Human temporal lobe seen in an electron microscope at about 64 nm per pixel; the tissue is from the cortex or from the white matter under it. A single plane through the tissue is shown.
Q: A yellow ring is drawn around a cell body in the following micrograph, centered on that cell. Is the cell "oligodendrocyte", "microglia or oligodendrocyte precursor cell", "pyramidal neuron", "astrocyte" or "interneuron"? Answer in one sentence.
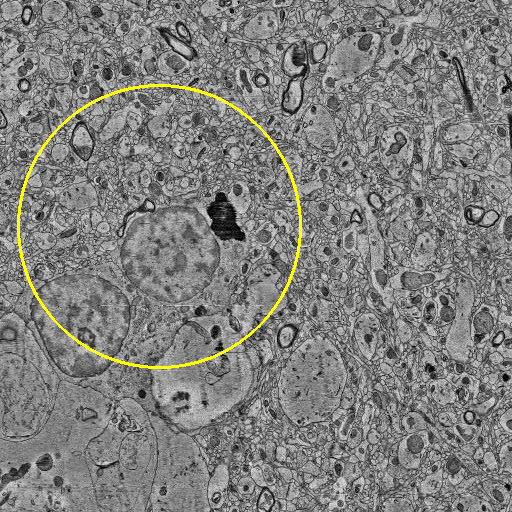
The cell in the center of the ring is an oligodendrocyte.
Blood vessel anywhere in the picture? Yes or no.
Yes, there is a blood vessel in the image.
